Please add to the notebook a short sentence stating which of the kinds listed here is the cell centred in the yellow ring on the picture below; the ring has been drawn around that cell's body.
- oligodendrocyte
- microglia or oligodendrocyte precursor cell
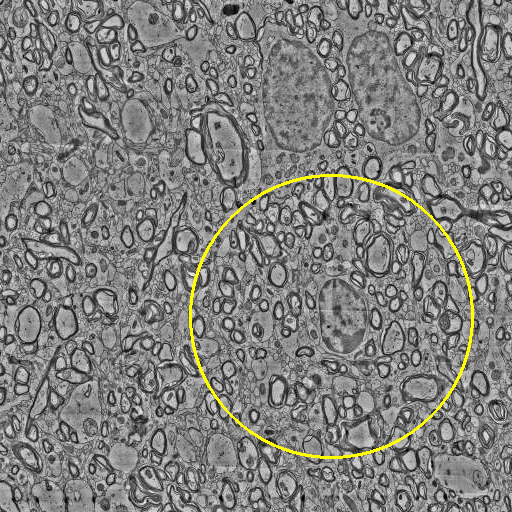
The cell centred in the yellow ring is a microglial cell or oligodendrocyte precursor cell.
